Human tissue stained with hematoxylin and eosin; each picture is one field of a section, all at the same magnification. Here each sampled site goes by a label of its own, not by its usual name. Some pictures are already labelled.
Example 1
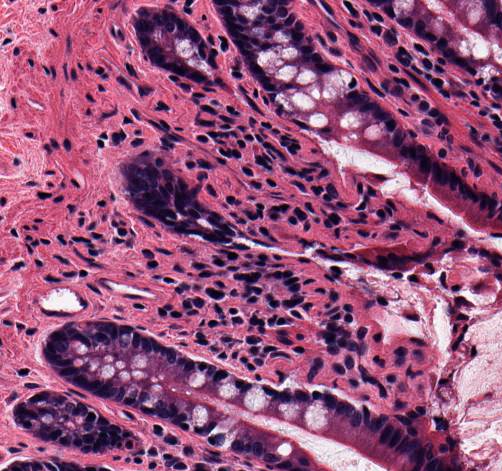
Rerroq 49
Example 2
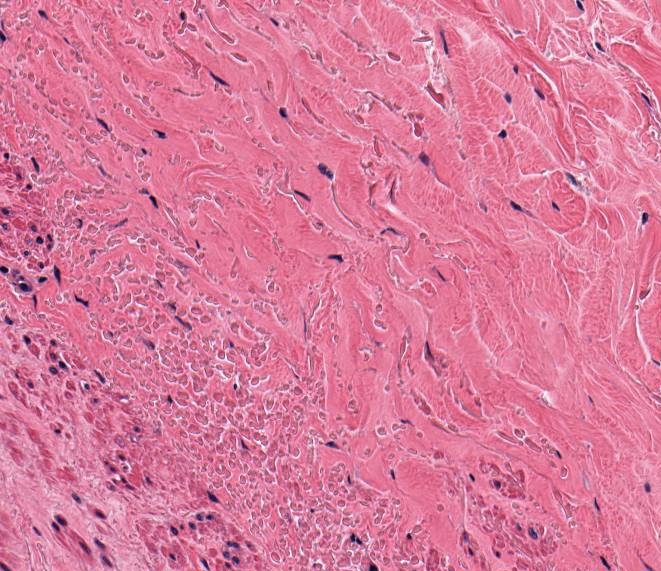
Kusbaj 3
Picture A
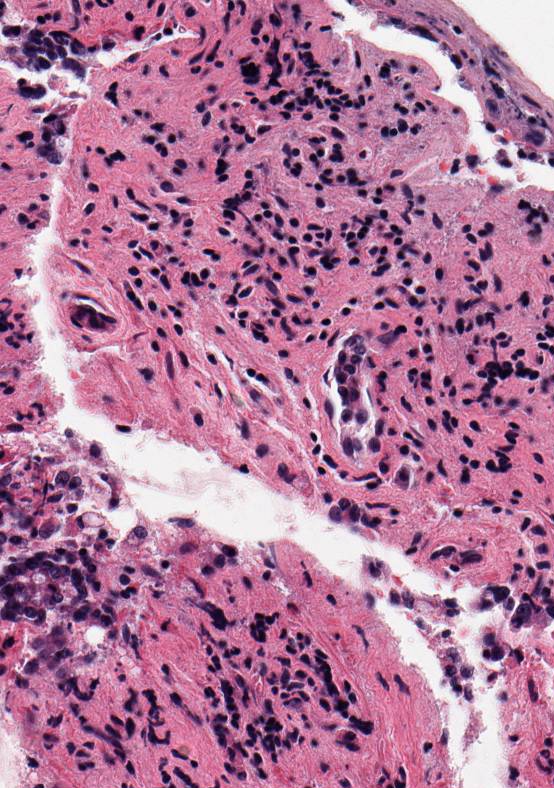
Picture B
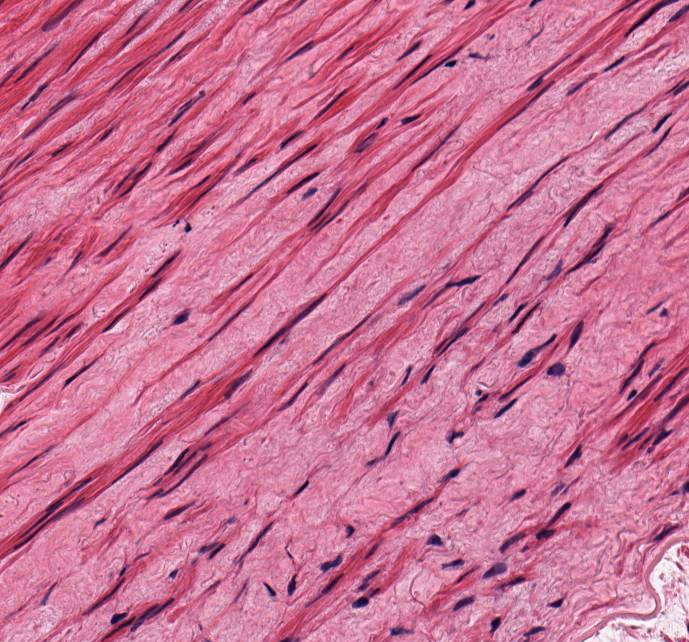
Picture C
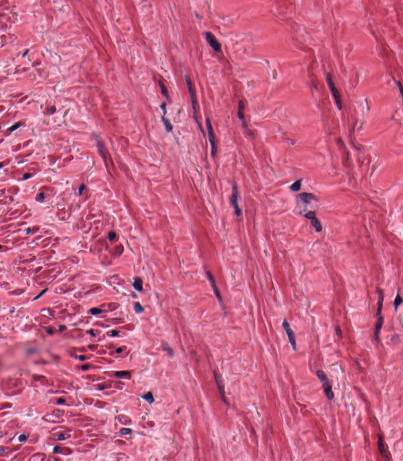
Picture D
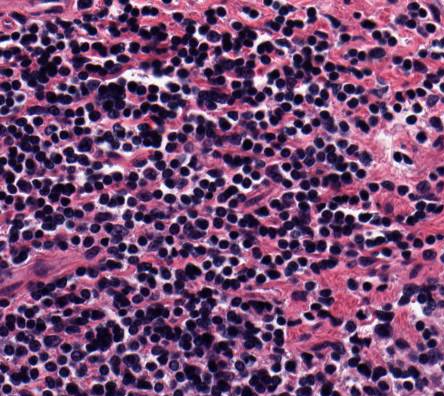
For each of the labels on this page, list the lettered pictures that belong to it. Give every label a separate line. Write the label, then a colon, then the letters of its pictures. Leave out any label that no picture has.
Rerroq 49: A, D
Kusbaj 3: B, C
